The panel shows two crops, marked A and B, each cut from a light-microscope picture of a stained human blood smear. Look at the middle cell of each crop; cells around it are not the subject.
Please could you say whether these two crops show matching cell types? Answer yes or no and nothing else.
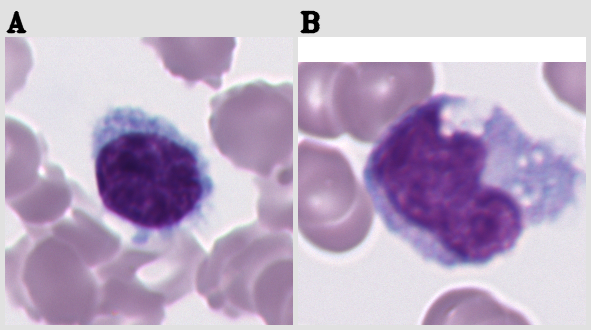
no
